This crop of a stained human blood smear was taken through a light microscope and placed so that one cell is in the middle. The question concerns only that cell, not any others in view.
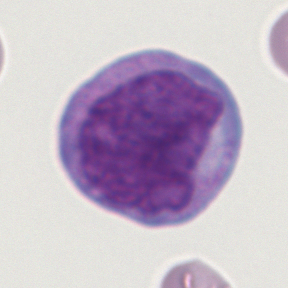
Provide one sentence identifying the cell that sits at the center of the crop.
The cell in the exact centre of the crop is an atypical promyelocyte.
